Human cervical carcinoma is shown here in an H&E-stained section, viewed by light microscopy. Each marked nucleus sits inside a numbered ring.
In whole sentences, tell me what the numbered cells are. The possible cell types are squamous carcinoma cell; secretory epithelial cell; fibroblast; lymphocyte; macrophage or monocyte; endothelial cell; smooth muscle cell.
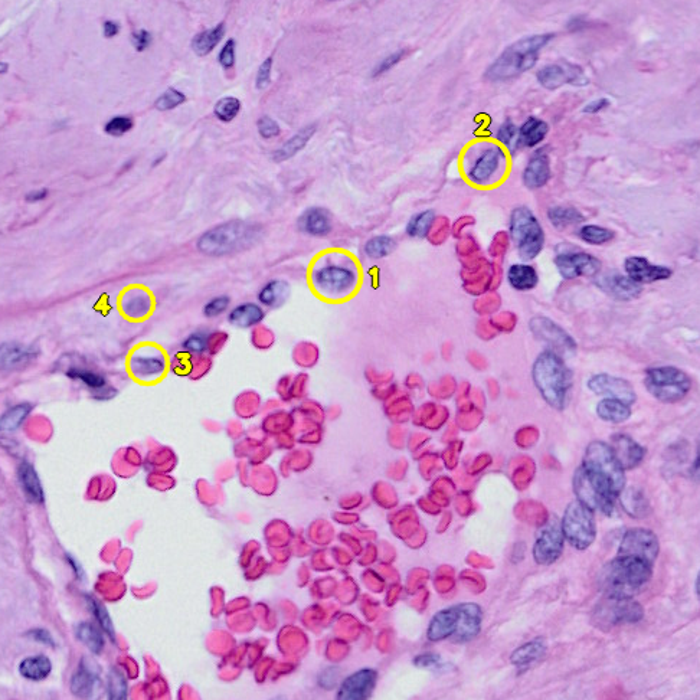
Cell 1 is an endothelial cell, cell 2 is an endothelial cell, cell 3 is an endothelial cell and cell 4 is a smooth muscle cell.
